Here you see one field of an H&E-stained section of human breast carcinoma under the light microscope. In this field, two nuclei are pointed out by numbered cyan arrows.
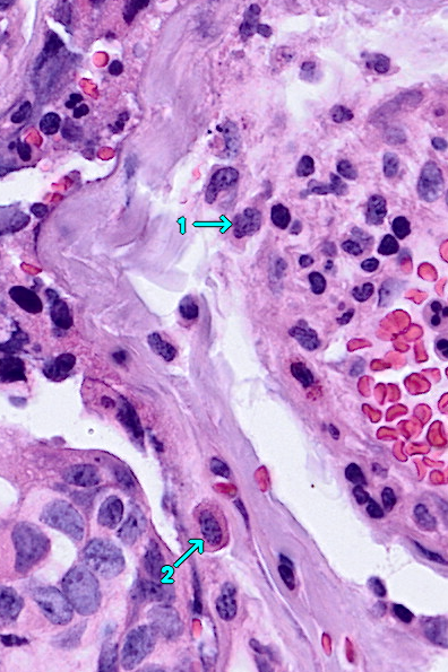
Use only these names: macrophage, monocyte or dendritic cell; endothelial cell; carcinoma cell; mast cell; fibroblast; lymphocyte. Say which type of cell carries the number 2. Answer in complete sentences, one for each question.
The cell pointed out as number 2 is a mast cell.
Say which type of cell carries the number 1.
The cell whose nucleus carries the number 1 is a macrophage, monocyte or dendritic cell.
